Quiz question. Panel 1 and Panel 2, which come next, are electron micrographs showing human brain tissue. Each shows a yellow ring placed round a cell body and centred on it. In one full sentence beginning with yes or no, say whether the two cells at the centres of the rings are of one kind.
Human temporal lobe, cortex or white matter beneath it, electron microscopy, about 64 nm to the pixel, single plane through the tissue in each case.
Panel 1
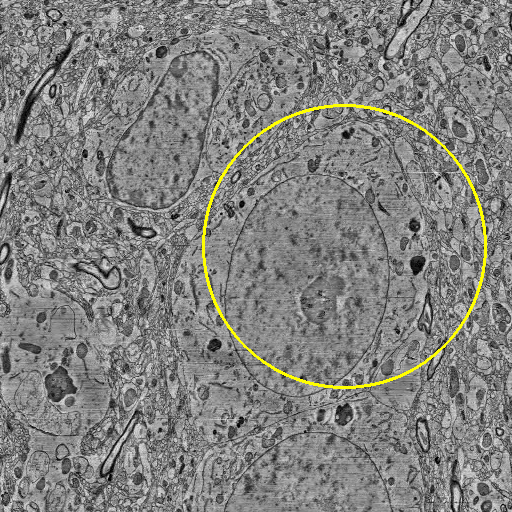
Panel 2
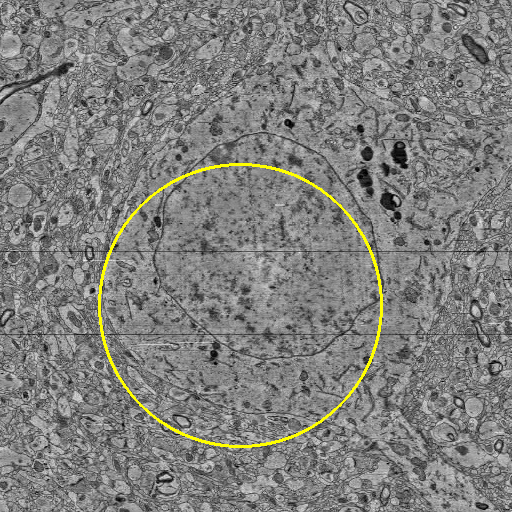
Yes, Panel 1 and Panel 2 show one kind of cell at the centre of the ring.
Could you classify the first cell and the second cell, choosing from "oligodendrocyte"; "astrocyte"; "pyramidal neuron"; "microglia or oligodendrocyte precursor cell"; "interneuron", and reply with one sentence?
In the first picture and in the second, the ring is centred on a pyramidal neuron.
